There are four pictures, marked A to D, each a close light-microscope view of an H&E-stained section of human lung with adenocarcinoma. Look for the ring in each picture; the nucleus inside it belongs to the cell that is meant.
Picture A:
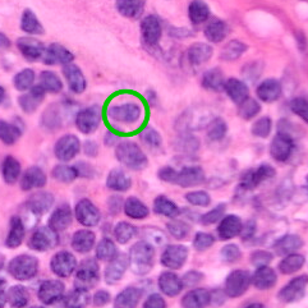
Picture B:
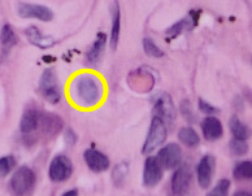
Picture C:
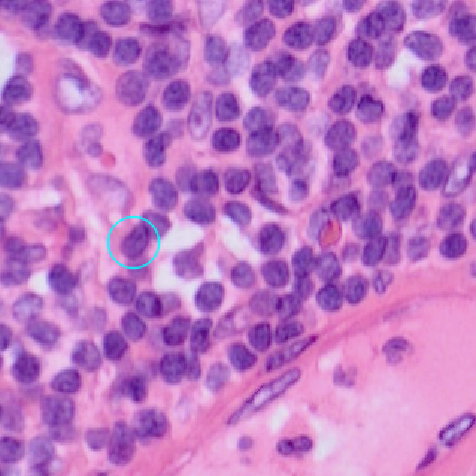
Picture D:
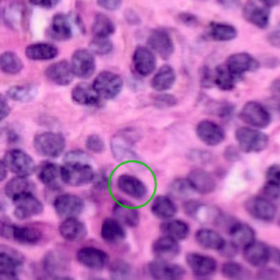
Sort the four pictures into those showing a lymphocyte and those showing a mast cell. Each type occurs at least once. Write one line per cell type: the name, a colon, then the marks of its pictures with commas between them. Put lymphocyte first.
lymphocyte: A, C, D
mast cell: B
